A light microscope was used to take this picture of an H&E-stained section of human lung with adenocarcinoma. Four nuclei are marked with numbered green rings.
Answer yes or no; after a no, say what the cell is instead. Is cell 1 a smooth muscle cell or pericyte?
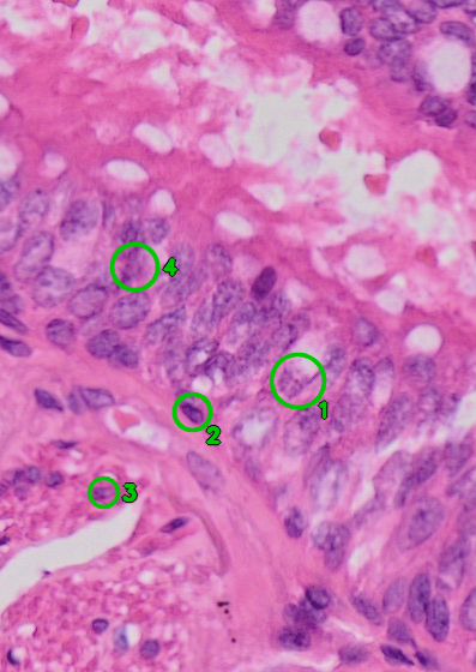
No, it is a ciliated epithelial cell.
